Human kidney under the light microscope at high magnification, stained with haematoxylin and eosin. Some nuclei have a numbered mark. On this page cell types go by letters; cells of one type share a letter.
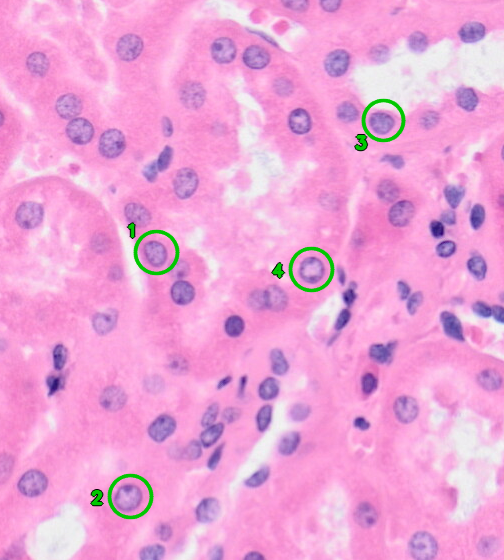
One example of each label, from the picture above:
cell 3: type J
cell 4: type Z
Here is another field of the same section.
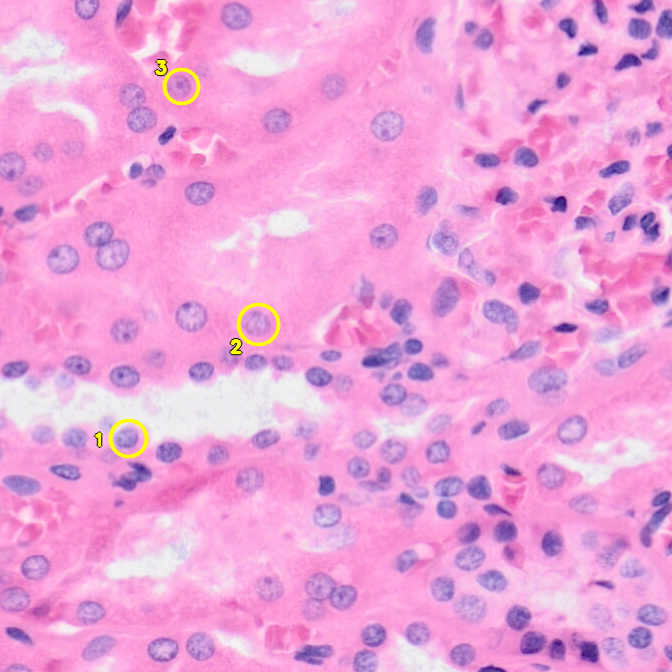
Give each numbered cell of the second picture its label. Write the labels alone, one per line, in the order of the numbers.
type J
type Z
type Z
